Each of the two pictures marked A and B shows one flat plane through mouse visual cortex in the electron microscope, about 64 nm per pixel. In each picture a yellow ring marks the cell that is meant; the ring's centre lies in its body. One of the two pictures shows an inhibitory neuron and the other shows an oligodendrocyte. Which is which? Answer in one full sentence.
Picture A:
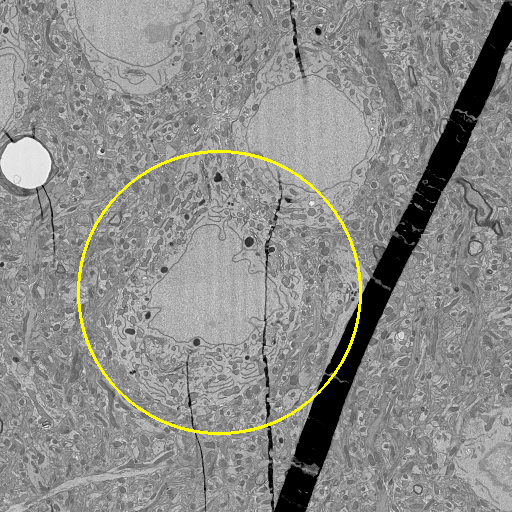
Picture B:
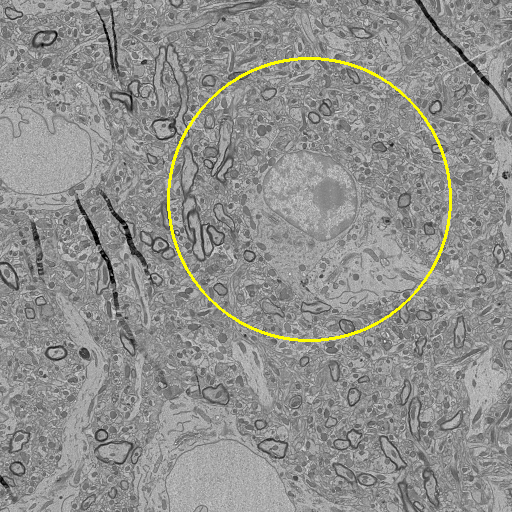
Picture A shows an inhibitory neuron and picture B shows an oligodendrocyte.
